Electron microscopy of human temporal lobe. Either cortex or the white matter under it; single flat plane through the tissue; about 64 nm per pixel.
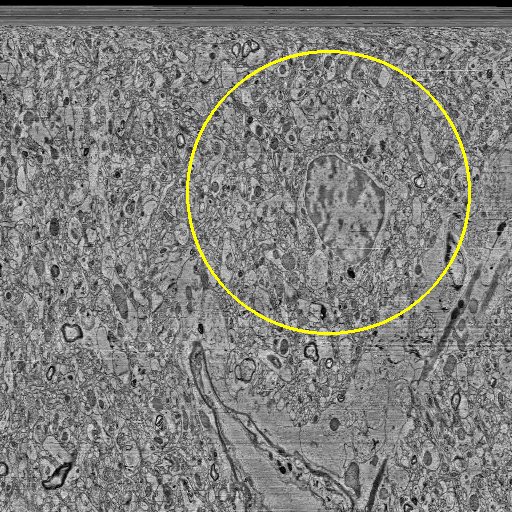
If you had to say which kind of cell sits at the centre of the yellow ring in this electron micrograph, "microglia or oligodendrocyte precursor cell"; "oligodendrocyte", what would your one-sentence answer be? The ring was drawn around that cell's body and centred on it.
The cell sitting at the centre of the ring is a microglial cell or oligodendrocyte precursor cell.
